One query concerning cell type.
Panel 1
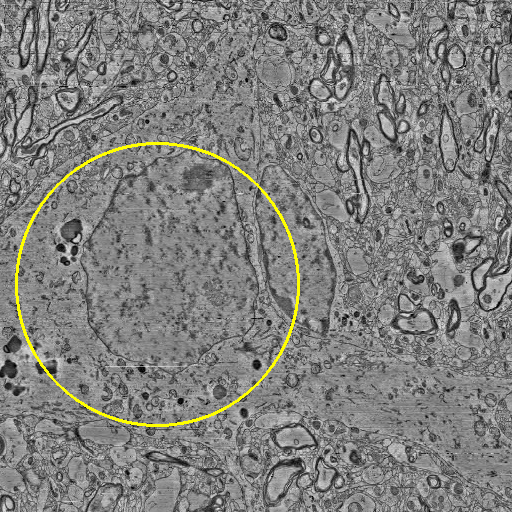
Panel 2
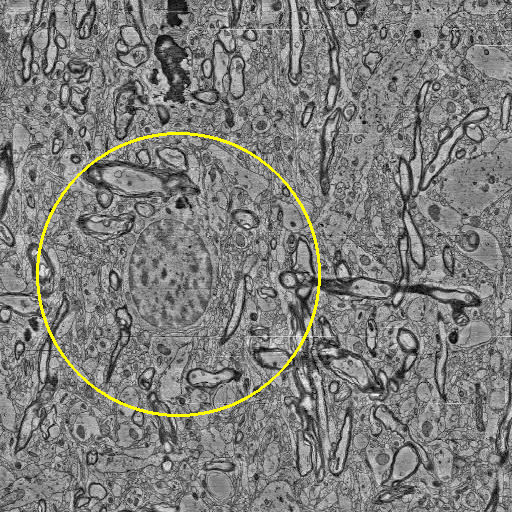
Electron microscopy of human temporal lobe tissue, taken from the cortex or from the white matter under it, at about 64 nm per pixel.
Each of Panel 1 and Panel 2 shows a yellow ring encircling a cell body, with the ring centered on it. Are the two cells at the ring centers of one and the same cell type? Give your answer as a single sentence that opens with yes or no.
No, the cell centered in Panel 1 and the one in Panel 2 are of two types.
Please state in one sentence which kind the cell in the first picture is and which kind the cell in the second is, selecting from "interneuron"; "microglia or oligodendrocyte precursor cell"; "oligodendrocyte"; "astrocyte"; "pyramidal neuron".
The first ringed cell is a pyramidal neuron, the second ringed cell an oligodendrocyte.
